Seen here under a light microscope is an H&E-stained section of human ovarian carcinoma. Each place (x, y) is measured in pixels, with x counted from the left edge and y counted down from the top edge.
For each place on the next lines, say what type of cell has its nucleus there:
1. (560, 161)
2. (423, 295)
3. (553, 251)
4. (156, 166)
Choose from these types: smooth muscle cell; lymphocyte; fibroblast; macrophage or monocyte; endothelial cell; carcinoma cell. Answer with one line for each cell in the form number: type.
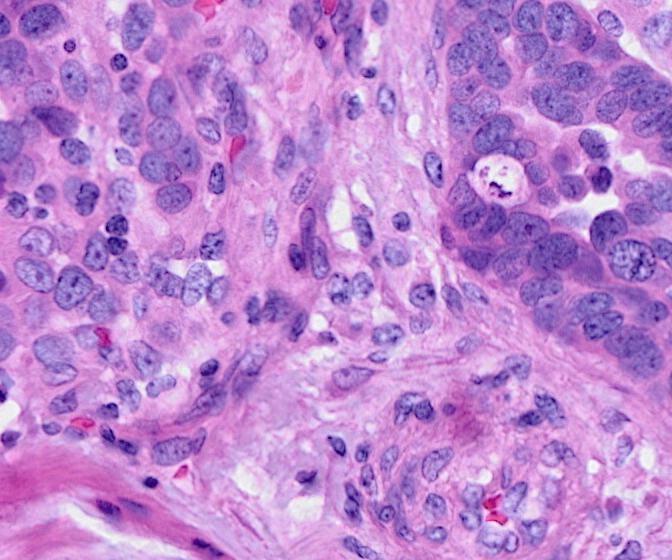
1: carcinoma cell
2: macrophage or monocyte
3: carcinoma cell
4: carcinoma cell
